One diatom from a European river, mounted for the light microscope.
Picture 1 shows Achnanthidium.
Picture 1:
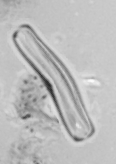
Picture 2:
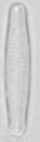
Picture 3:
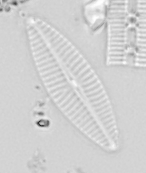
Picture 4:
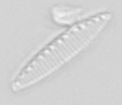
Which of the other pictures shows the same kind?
Picture 2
